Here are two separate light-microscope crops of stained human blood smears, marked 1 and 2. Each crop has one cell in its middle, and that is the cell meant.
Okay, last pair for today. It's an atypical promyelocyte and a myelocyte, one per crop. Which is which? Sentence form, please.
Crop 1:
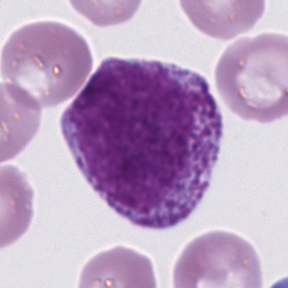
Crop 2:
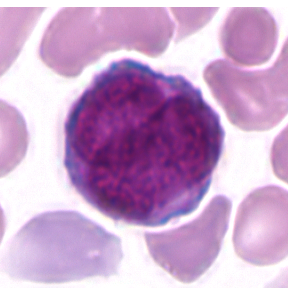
Crop 1 is a myelocyte, whilst crop 2 is an atypical promyelocyte.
